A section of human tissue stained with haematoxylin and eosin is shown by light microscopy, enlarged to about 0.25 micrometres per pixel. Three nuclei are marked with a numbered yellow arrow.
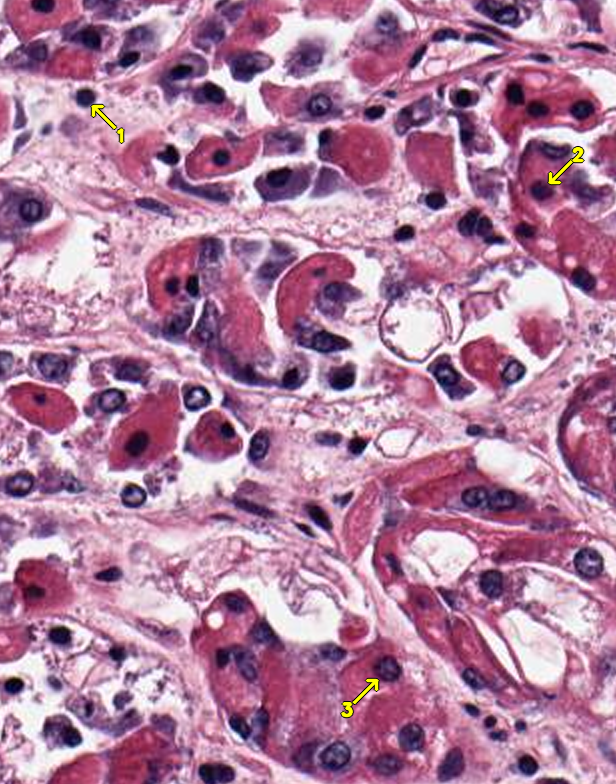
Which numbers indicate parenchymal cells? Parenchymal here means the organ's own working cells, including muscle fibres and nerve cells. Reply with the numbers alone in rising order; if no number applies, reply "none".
2, 3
